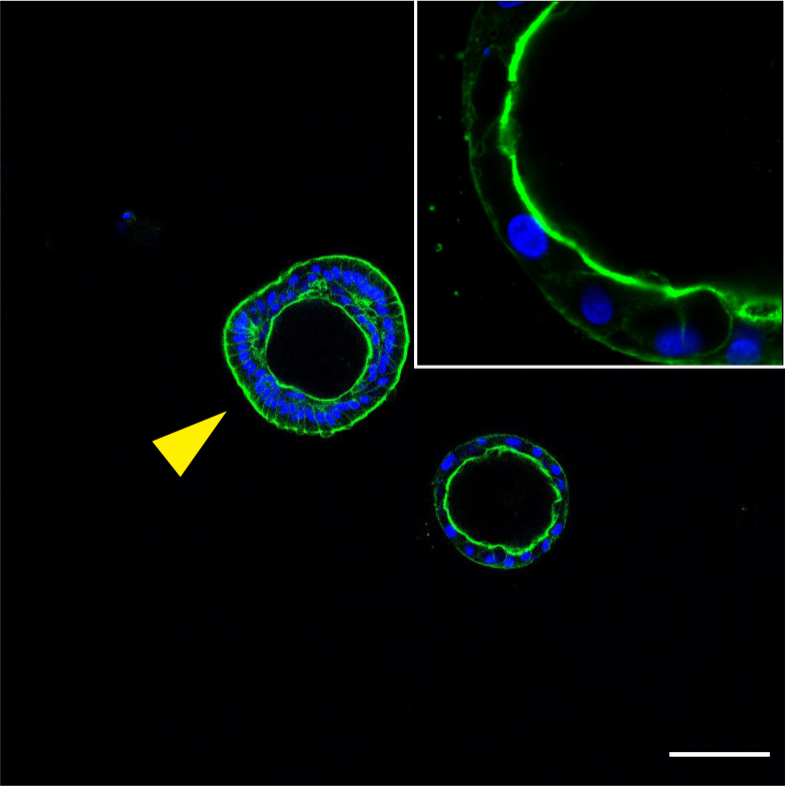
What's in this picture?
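Round epithelial organoids with smooth, unfolded outlines are shown, some with thin walls of flattened cells around a wide lumen. One thicker organoid has its strongest green on its outer surface.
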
